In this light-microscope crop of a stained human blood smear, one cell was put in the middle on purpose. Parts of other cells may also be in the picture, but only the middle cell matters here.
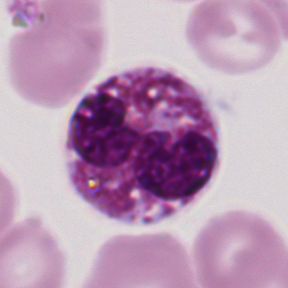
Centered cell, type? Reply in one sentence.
Centred in the crop is an eosinophil.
